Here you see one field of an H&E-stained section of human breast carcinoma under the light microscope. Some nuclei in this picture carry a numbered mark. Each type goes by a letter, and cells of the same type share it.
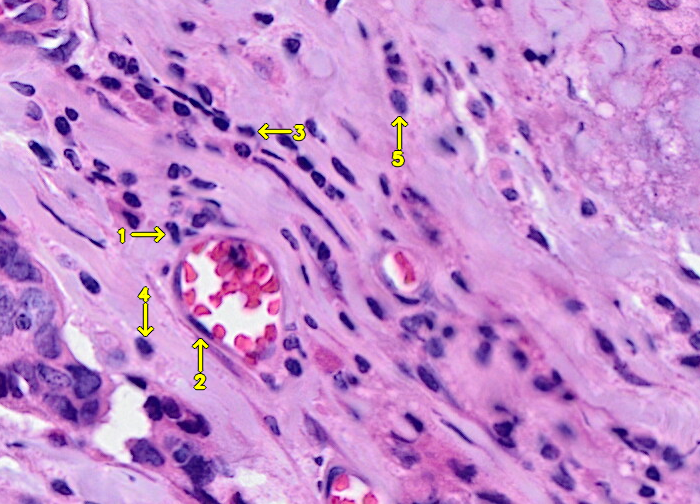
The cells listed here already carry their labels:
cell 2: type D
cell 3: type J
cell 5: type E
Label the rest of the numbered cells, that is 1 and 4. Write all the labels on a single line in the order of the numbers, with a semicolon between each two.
type J; type J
